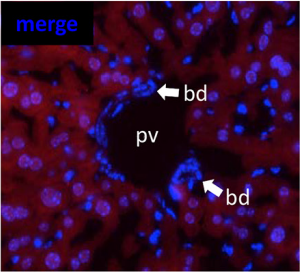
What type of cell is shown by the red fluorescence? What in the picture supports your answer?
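Red fills the cytoplasm of large cells arranged in plates around the vessel. These cells have large round blue nuclei. The small cells lining the vessel edge are not red. The answer: hepatocytes.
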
